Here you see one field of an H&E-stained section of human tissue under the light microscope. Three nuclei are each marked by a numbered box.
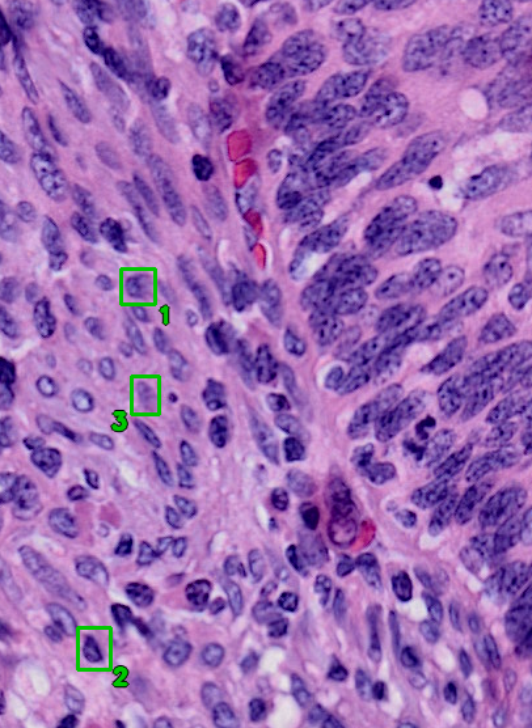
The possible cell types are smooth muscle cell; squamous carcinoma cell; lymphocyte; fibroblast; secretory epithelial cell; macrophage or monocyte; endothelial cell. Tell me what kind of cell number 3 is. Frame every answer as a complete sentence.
Cell 3 in the field is a smooth muscle cell.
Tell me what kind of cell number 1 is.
Among the marked nuclei, number 1 belongs to a smooth muscle cell.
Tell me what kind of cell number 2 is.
Number 2 is placed on a lymphocyte here.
